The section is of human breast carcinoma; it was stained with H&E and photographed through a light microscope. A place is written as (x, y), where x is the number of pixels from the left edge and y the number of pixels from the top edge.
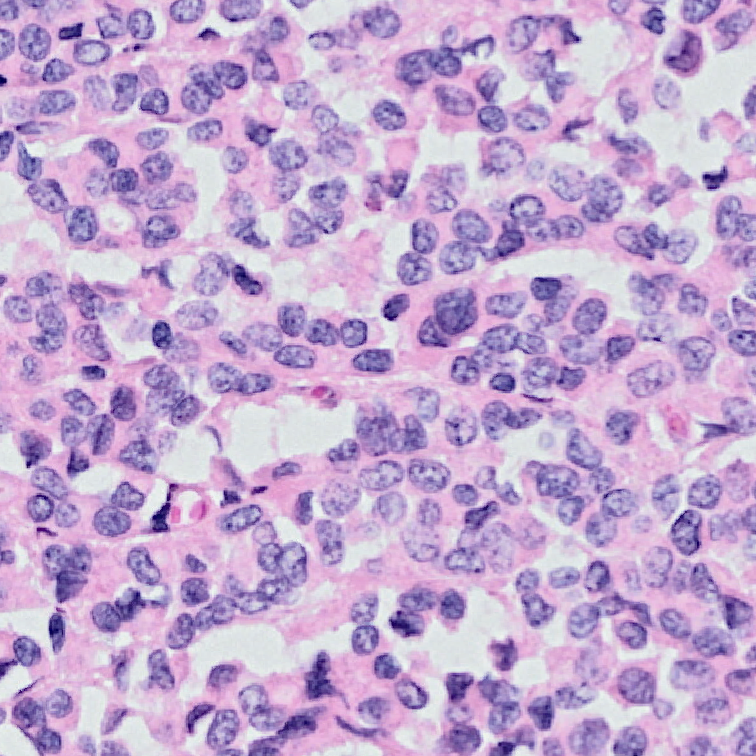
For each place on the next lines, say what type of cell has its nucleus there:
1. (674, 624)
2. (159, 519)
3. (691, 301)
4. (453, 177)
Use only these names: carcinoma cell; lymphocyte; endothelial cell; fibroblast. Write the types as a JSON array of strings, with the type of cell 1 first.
["carcinoma cell", "endothelial cell", "carcinoma cell", "carcinoma cell"]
